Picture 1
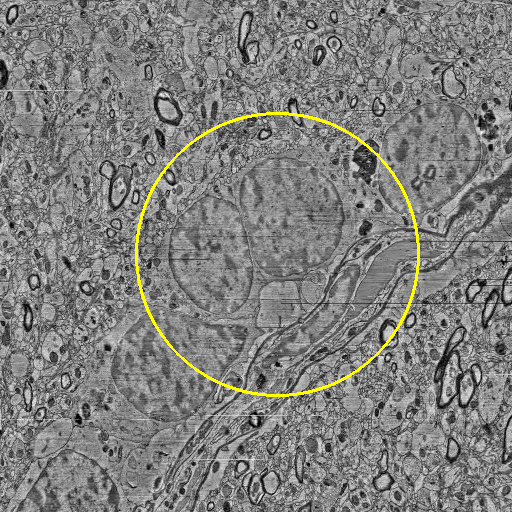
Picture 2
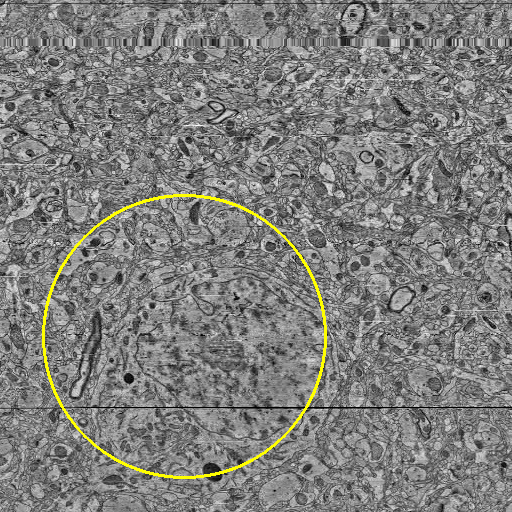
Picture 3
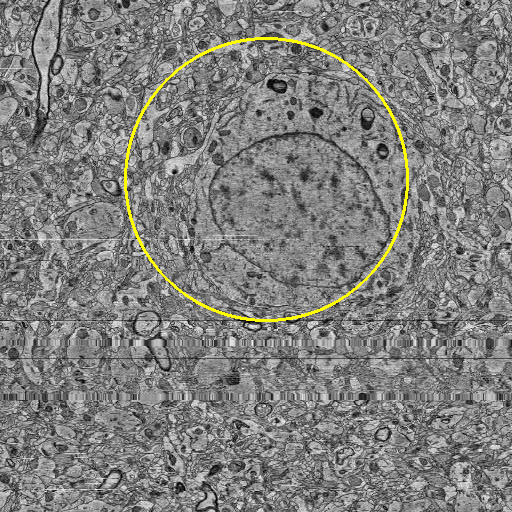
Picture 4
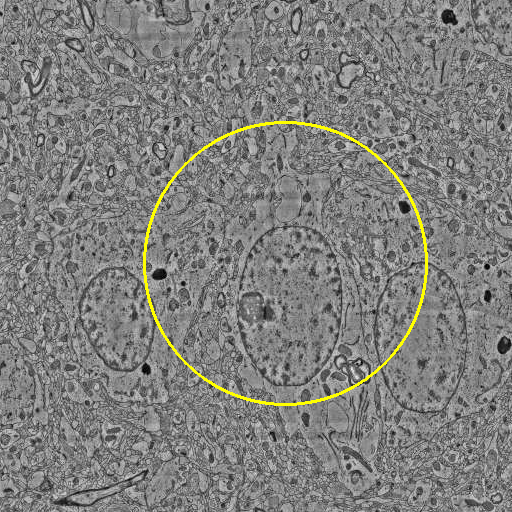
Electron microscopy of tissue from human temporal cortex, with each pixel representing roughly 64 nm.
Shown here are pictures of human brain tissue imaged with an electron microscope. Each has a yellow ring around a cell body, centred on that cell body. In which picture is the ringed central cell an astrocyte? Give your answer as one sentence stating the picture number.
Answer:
My answer is picture 4, where the ringed cell at the centre is the one sought.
